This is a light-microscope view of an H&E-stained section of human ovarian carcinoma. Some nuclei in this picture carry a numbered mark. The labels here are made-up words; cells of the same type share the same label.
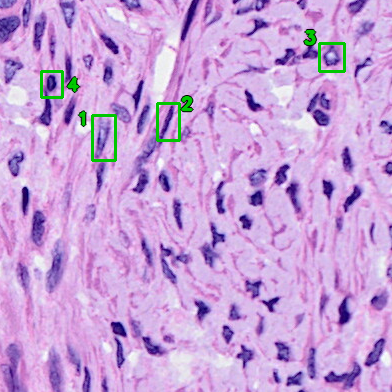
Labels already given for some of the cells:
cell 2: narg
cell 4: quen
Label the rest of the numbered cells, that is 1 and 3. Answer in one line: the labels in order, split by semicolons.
narg; narg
